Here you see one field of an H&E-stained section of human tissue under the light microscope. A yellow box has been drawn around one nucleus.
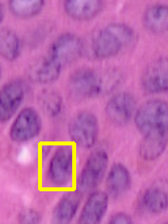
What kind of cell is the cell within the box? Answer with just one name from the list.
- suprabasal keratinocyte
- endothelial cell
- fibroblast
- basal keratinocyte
basal keratinocyte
